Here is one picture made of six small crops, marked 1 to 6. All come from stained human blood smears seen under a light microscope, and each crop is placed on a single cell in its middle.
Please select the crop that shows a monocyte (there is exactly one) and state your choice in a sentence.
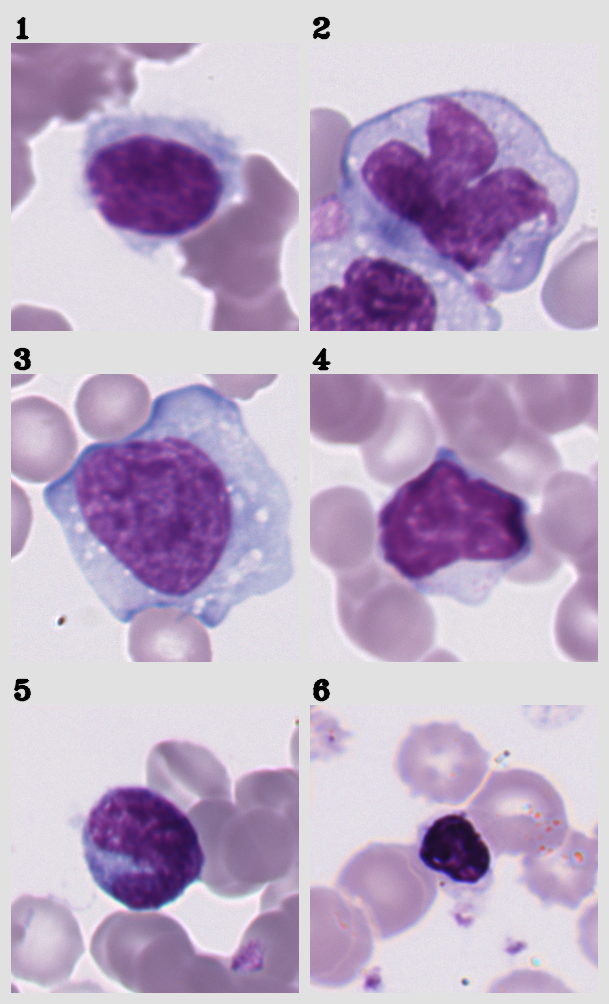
It is the cell in crop 2 that is a monocyte.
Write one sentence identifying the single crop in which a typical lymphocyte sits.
On review of the set, crop 5 is the one showing a typical lymphocyte.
